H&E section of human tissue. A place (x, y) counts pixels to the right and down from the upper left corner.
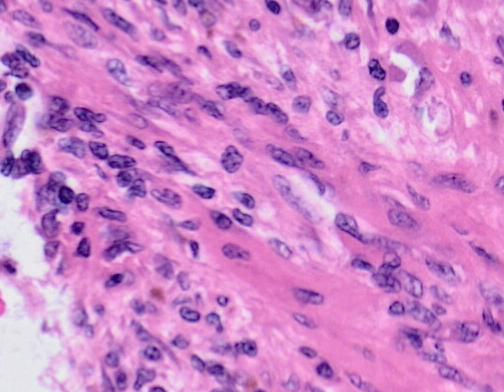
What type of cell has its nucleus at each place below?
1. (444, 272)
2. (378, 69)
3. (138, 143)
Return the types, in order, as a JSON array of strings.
["endothelial cell", "plasma cell", "lymphocyte"]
